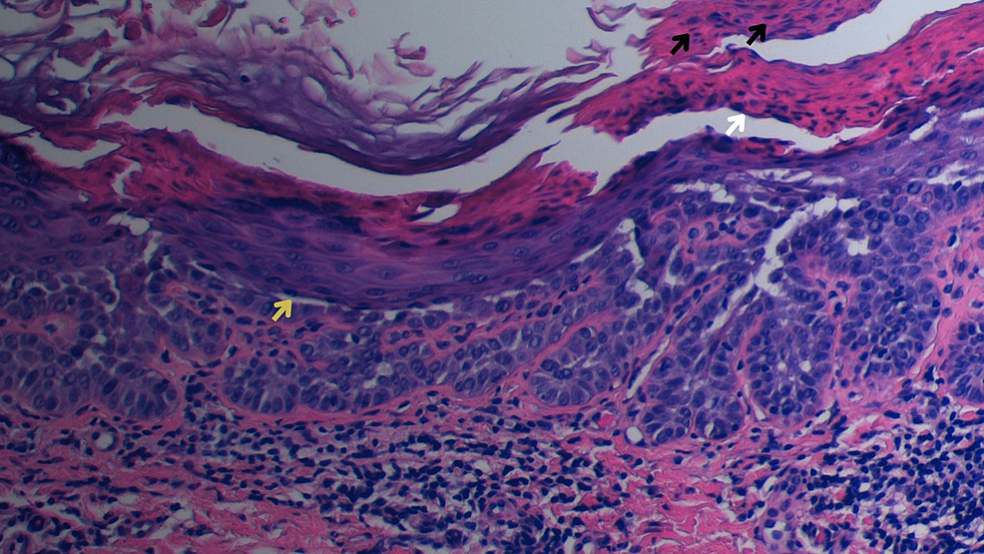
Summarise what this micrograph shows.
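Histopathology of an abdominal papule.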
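The deep epidermis forms crowded lobules and buds of cells with dark purple, oval nuclei and scant cytoplasm. Above them, a thin clear suprabasal cleft separates these layers from a band of flatter cells with more pink cytoplasm. Higher still, a thick, compact, bright pink cornified layer contains many small, dark, elongated nuclei lying parallel to the surface. Further clefts split this cornified layer into sheets. At the top left lies loose, layered, purplish keratin. Beneath the epidermis, the dermis holds a dense infiltrate of small, round, dark-nucleated inflammatory cells among pink collagen.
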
